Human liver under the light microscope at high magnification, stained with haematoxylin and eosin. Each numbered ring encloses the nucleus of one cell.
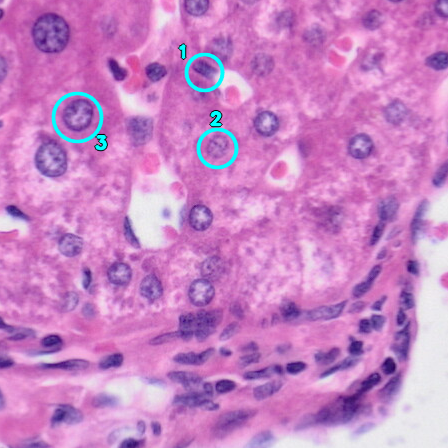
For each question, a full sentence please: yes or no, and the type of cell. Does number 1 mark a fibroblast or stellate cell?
Yes, the cell given number 1 is a fibroblast or stellate cell.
